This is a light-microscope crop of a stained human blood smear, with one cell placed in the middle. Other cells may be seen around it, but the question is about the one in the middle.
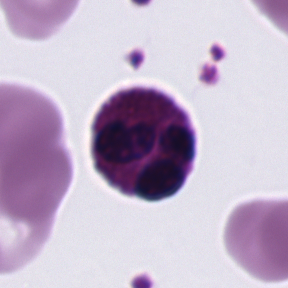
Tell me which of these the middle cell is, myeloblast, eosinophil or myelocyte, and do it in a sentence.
The cell marked by its central position in the crop is an eosinophil.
